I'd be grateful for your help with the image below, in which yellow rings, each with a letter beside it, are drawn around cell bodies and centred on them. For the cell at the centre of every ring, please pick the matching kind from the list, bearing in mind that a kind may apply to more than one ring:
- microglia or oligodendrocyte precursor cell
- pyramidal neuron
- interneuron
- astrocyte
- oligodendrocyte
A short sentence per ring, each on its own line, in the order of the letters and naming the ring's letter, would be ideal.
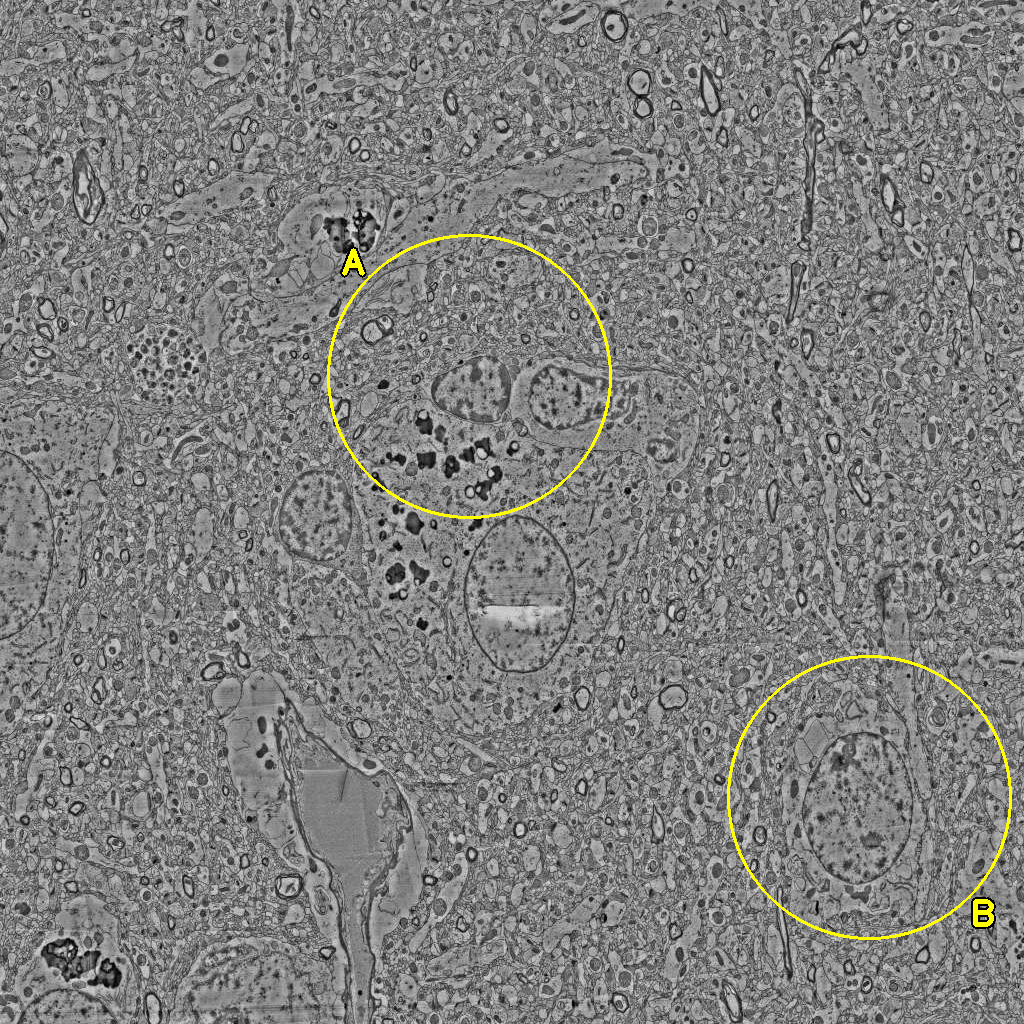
Inside ring A, the central cell is a microglial cell or oligodendrocyte precursor cell.
Inside ring B, the central cell is an astrocyte.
